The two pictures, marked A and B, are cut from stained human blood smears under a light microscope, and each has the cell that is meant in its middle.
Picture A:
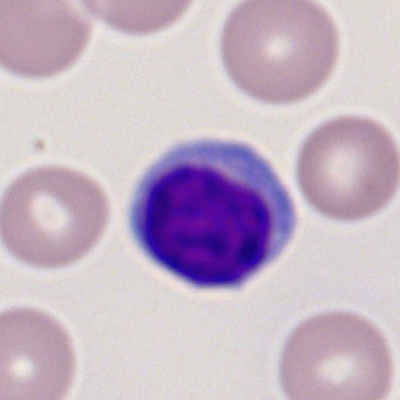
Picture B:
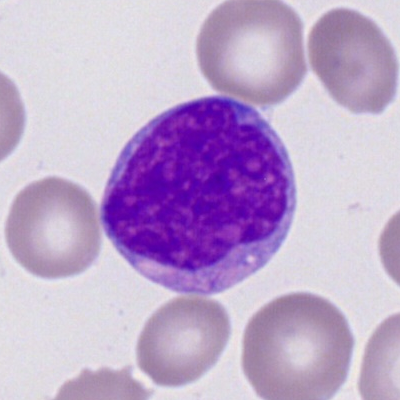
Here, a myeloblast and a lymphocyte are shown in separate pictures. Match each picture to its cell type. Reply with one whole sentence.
It is picture A that shows a lymphocyte, and picture B that shows a myeloblast.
